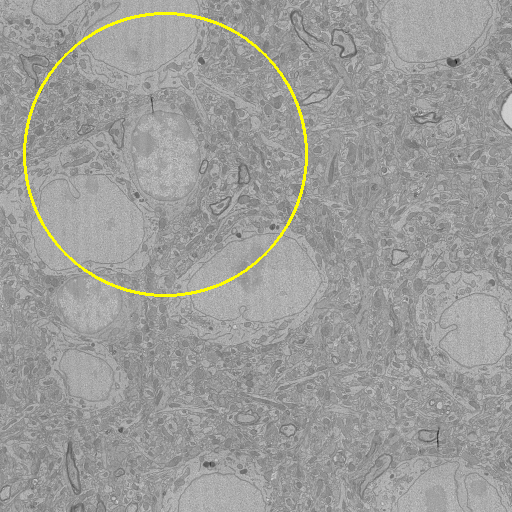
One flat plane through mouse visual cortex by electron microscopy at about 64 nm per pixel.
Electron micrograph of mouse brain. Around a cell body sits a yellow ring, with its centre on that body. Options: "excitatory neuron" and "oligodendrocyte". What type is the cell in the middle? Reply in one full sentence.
The cell sitting at the centre of the yellow ring is an oligodendrocyte.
